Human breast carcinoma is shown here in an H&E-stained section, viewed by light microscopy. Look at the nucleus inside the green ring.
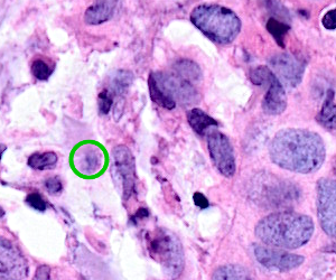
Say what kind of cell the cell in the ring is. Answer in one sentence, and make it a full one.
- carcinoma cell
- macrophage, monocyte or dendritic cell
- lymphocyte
In the stained section, the cell in the ring is a macrophage, monocyte or dendritic cell.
